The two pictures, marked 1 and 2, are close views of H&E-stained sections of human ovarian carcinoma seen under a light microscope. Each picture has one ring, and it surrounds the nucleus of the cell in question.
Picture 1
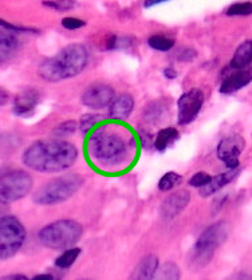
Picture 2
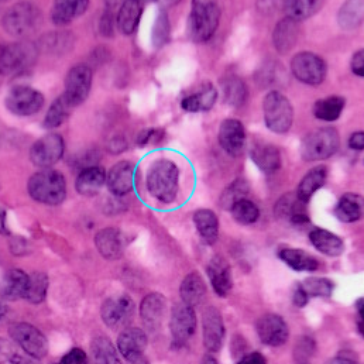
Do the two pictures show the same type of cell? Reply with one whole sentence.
No; the cell in picture 1 is a carcinoma cell, while the one in picture 2 is a “macrophage or monocyte”.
